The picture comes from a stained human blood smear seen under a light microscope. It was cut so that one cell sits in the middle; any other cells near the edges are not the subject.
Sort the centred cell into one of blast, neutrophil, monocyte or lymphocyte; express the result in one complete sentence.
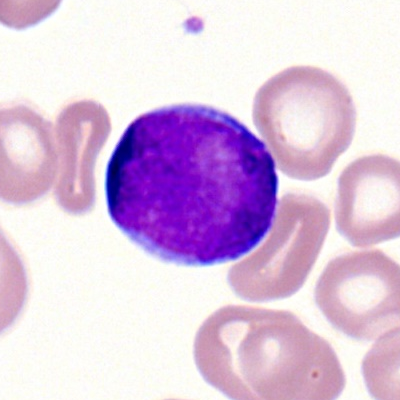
The central cell in this smear crop is a blast.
